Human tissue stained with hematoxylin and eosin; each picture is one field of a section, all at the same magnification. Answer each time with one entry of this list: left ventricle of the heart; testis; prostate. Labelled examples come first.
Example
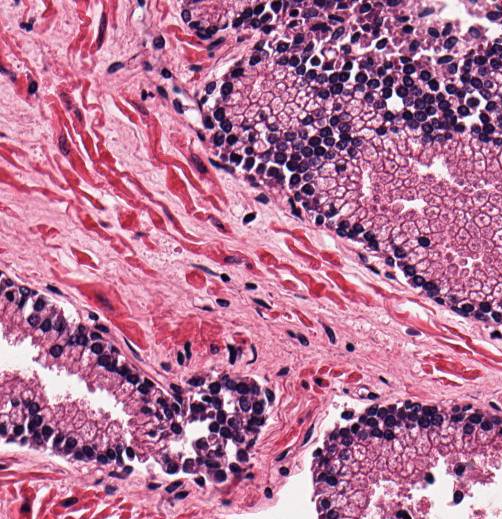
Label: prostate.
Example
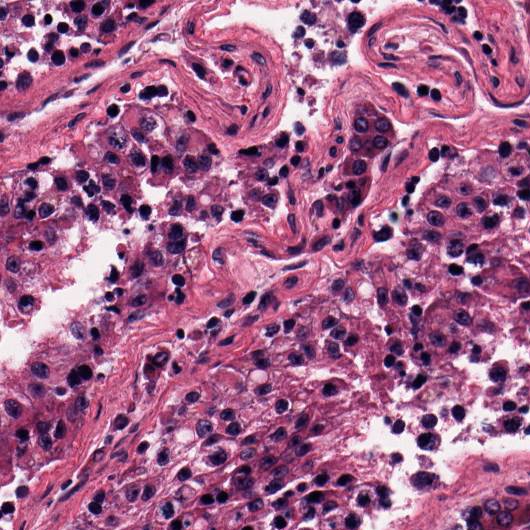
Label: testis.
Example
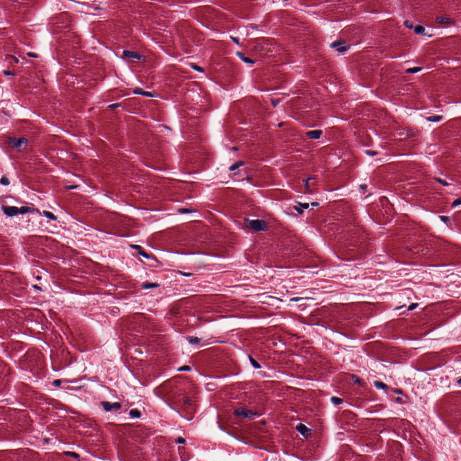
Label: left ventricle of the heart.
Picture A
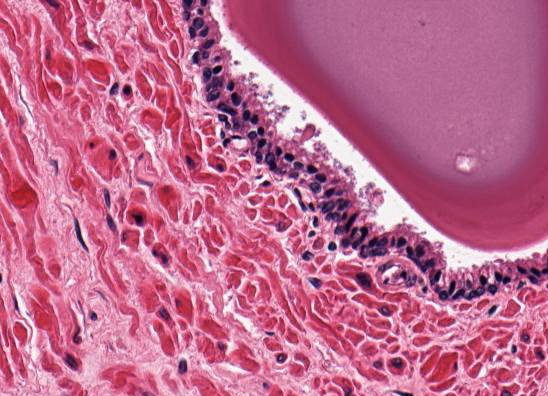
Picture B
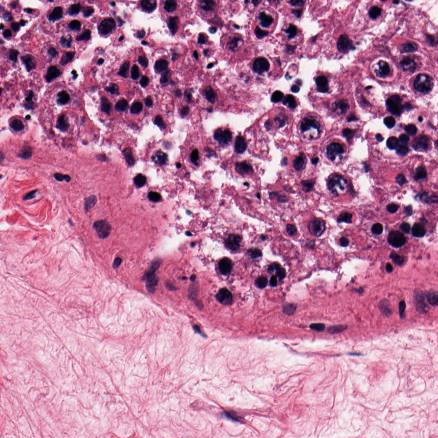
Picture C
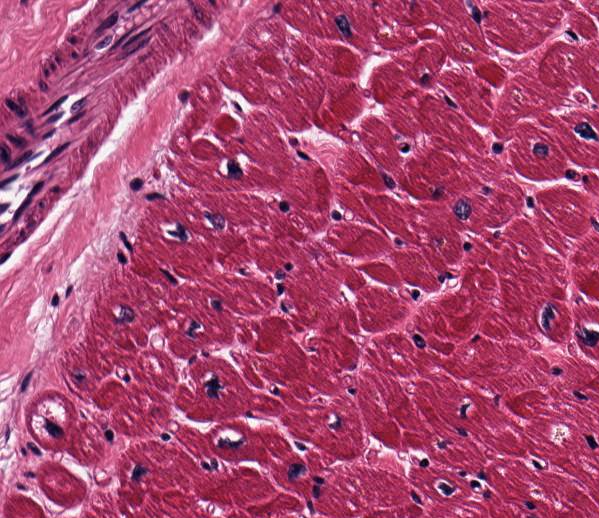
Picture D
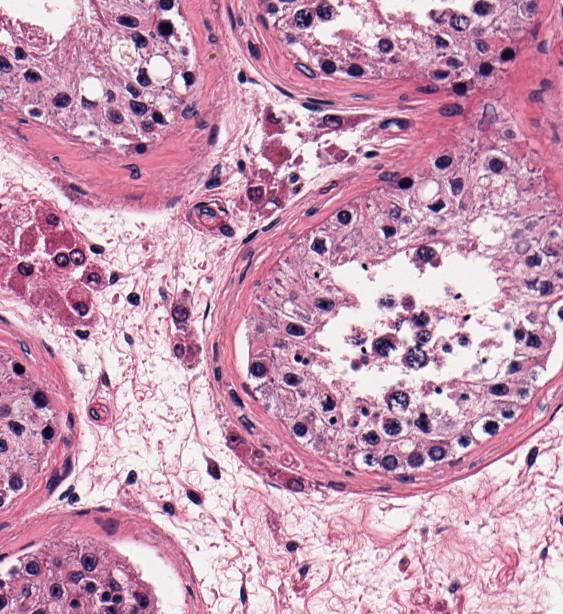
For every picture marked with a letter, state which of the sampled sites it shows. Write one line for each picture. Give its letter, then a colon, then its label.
A: prostate.
B: testis.
C: left ventricle of the heart.
D: testis.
